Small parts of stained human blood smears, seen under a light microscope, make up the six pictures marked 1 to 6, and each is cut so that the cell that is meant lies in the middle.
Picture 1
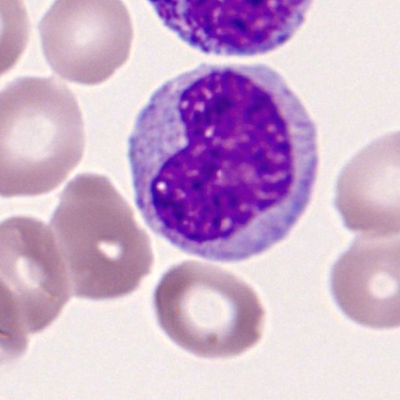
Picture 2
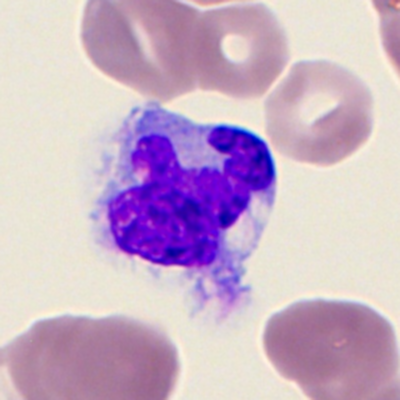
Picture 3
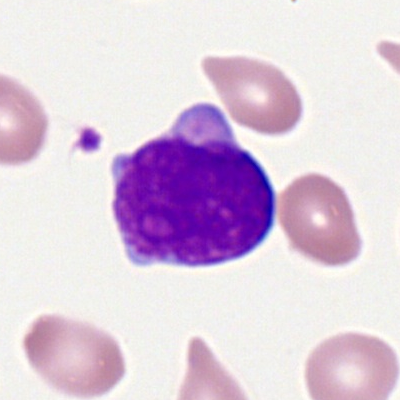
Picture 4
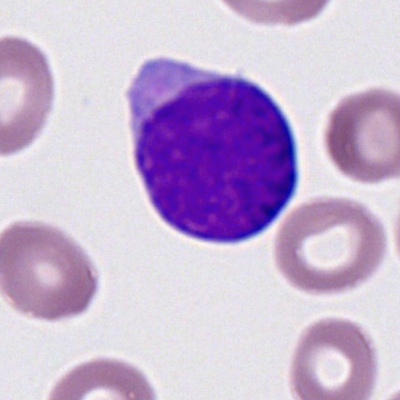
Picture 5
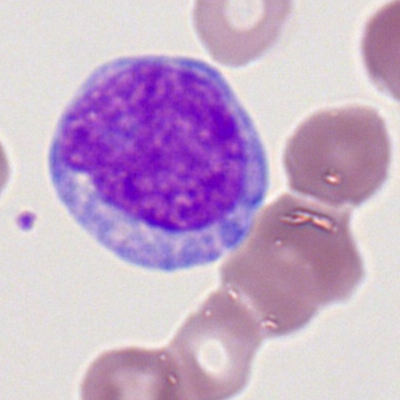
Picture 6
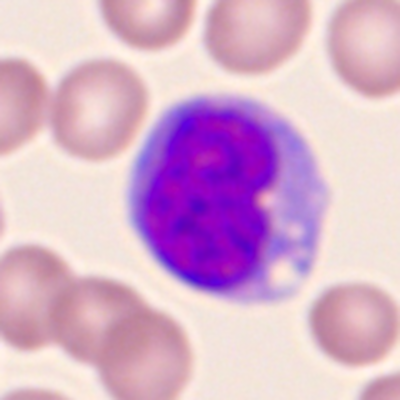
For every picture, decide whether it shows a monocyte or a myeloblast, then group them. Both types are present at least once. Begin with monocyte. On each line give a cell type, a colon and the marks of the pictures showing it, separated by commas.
monocyte: 1, 2, 5, 6
myeloblast: 3, 4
